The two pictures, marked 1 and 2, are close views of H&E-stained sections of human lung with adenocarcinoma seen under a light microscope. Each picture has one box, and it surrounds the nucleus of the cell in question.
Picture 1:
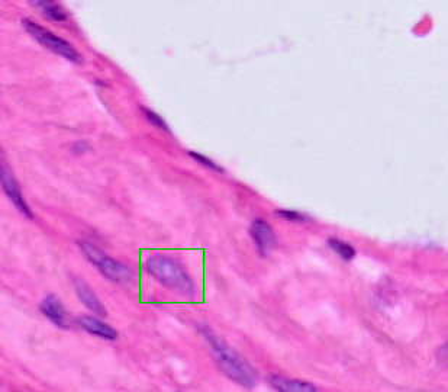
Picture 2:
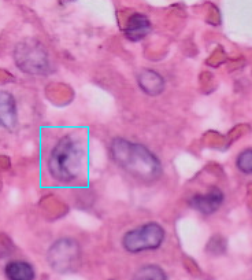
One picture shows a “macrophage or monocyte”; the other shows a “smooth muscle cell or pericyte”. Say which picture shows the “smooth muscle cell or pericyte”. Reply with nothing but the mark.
1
